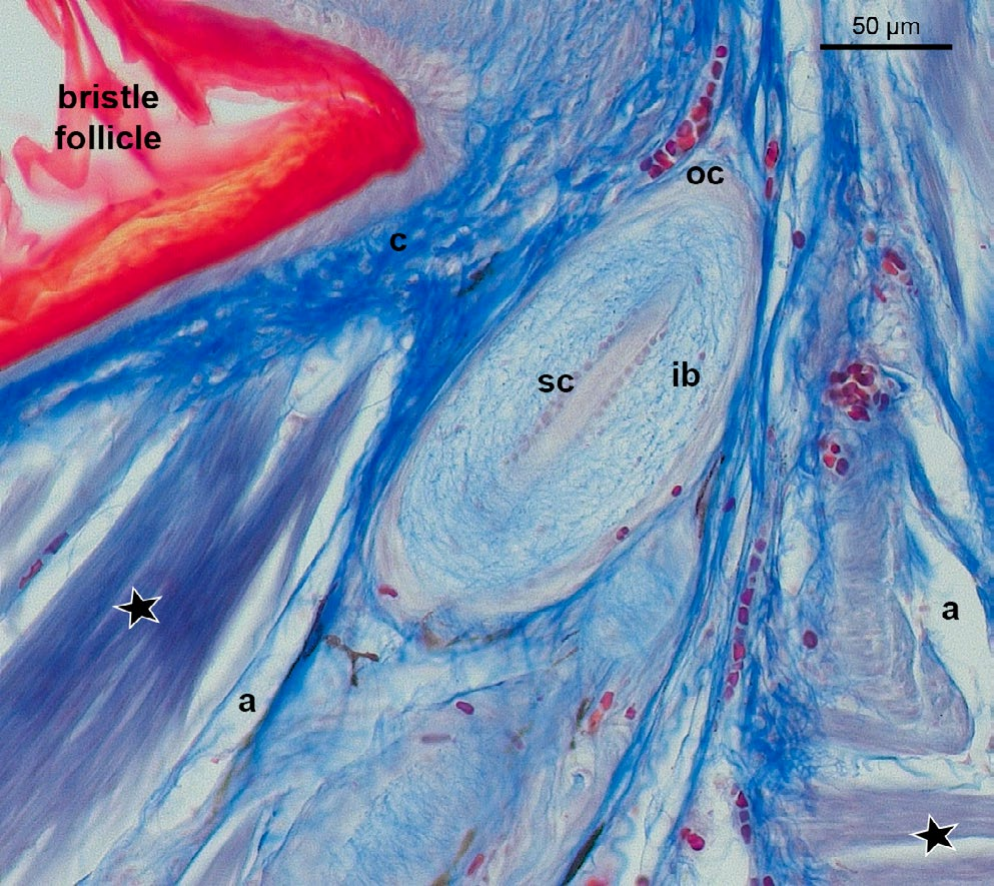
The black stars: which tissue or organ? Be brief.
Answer: Muscle fibres.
